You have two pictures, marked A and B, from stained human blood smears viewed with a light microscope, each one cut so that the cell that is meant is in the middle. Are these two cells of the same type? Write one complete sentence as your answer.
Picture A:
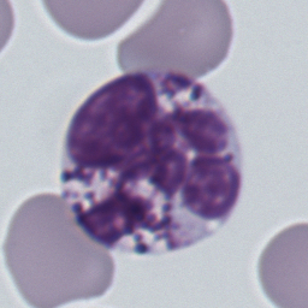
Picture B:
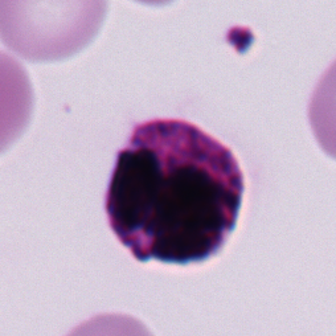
Yes, the two pictures both show basophils.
